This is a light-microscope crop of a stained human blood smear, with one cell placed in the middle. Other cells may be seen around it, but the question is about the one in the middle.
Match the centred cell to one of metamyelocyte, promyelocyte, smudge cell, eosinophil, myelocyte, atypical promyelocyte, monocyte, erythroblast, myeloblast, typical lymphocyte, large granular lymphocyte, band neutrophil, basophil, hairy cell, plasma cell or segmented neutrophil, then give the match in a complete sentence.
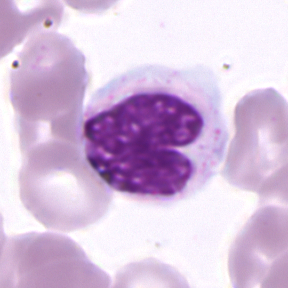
The cell in the middle of the field of view is a band neutrophil.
